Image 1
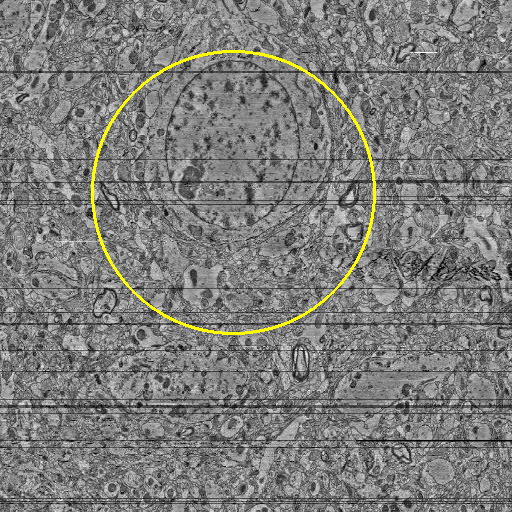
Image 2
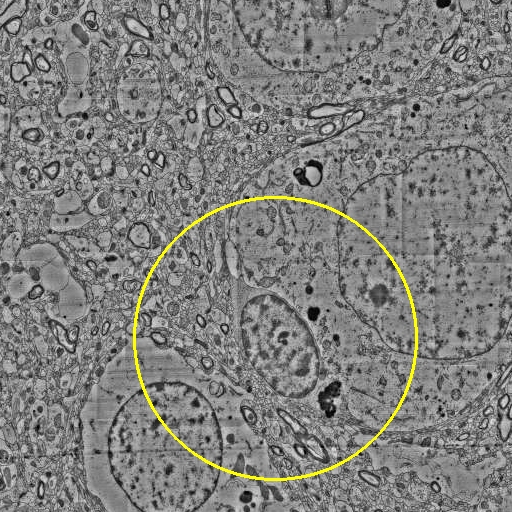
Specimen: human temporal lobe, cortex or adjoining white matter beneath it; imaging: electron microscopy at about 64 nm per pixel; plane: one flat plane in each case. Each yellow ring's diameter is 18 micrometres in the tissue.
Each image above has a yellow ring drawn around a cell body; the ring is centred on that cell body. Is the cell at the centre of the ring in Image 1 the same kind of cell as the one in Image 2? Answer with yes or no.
no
